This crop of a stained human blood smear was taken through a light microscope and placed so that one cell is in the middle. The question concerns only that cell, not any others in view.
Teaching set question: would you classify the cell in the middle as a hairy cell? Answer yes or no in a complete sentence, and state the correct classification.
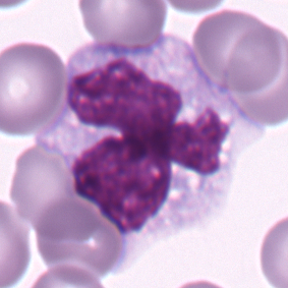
No, the cell in the centre is to be called a monocyte instead of a hairy cell.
